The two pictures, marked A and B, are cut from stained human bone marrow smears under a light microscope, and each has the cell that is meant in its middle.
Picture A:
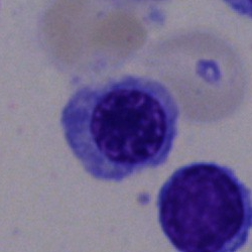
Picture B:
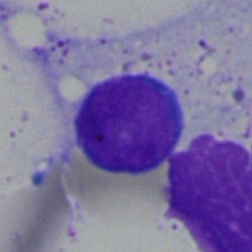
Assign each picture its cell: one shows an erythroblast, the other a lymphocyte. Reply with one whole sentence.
In picture A the cell is an erythroblast; in picture B, a lymphocyte.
